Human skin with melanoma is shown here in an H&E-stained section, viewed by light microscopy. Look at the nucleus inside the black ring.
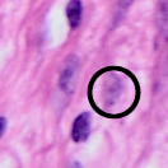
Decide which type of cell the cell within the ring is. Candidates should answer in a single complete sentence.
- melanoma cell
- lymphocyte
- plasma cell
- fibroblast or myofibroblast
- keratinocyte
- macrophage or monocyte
Considered by cell type, the cell within the ring is a fibroblast or myofibroblast.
